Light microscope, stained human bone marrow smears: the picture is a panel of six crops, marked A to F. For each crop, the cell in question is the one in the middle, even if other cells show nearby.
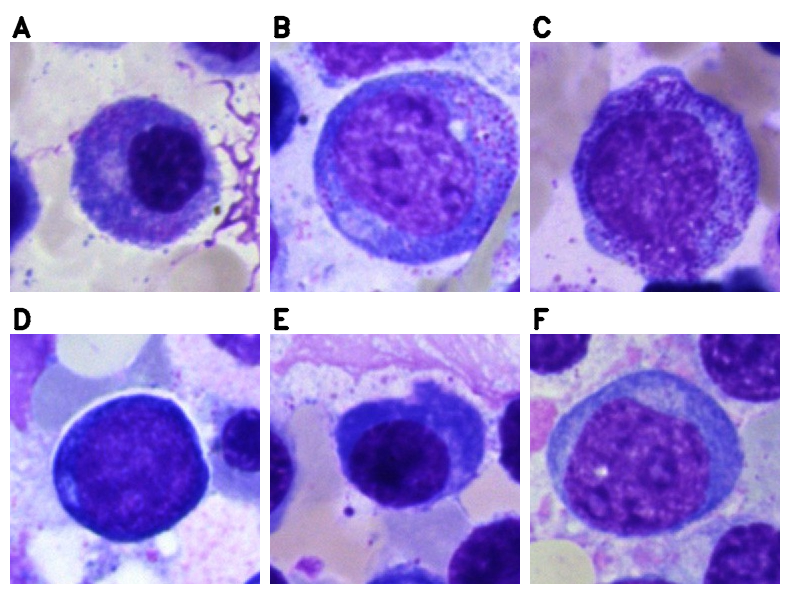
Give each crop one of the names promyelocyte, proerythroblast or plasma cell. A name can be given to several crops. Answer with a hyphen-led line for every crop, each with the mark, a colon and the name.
- A: plasma cell
- B: promyelocyte
- C: promyelocyte
- D: proerythroblast
- E: plasma cell
- F: proerythroblast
